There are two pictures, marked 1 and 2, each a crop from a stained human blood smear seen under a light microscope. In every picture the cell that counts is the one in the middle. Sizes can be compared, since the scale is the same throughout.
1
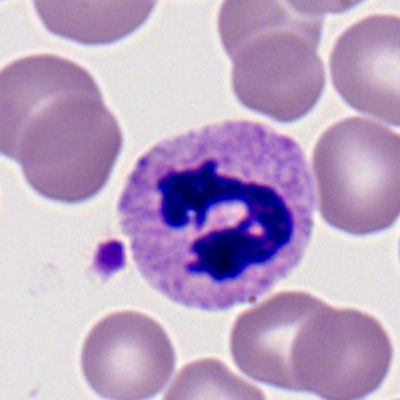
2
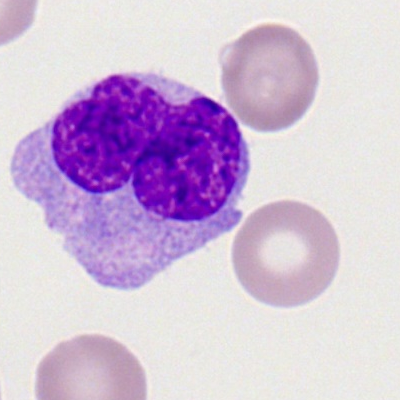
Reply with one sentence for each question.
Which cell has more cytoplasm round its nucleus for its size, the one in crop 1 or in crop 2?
The nucleus fills less of the cell in crop 1 than in crop 2.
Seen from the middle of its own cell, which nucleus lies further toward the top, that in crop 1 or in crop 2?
Seen within its cell, the nucleus in crop 2 lies further toward the top.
